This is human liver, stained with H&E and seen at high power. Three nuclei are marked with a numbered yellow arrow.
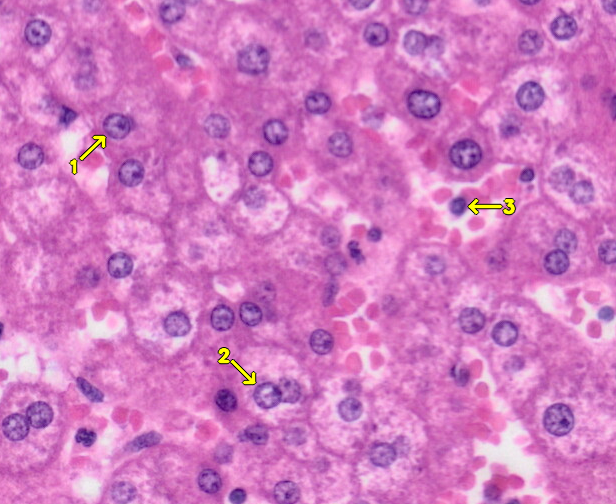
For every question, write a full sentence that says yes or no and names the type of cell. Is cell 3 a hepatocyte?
No, cell 3 is classified as a lymphocyte rather than a hepatocyte.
